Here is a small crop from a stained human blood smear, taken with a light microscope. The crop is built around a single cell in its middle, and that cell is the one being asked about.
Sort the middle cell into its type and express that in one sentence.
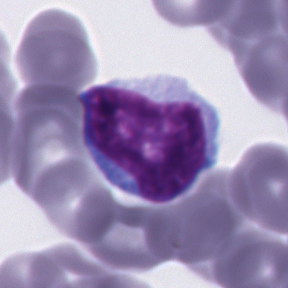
The crop centres on a single cell, and that cell is a typical lymphocyte.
